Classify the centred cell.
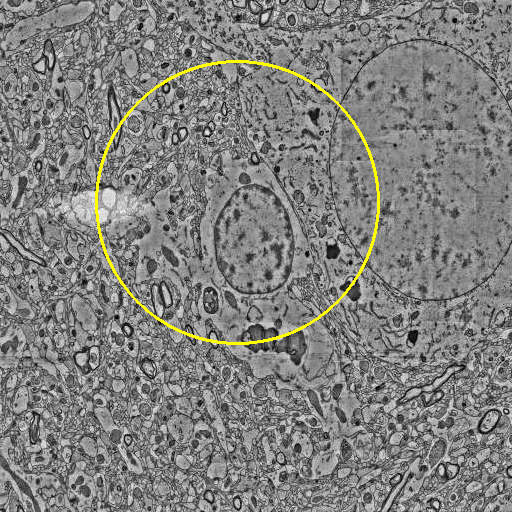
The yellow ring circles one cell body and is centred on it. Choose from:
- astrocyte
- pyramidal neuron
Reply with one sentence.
The ring is centred on an astrocyte.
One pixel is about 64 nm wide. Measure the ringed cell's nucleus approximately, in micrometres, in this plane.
In this plane, the nucleus of the cell at the centre of the ring measures about 7 by 5 micrometres.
